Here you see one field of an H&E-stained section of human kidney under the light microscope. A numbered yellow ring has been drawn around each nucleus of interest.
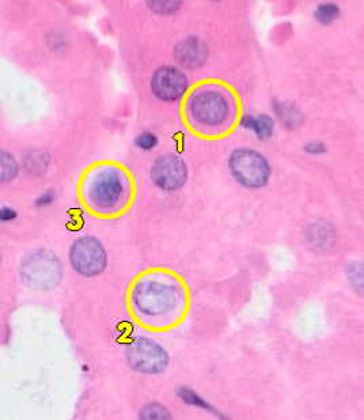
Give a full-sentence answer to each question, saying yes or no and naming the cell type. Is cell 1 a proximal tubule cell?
Yes, as for number 1, the cell is a proximal tubule cell.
